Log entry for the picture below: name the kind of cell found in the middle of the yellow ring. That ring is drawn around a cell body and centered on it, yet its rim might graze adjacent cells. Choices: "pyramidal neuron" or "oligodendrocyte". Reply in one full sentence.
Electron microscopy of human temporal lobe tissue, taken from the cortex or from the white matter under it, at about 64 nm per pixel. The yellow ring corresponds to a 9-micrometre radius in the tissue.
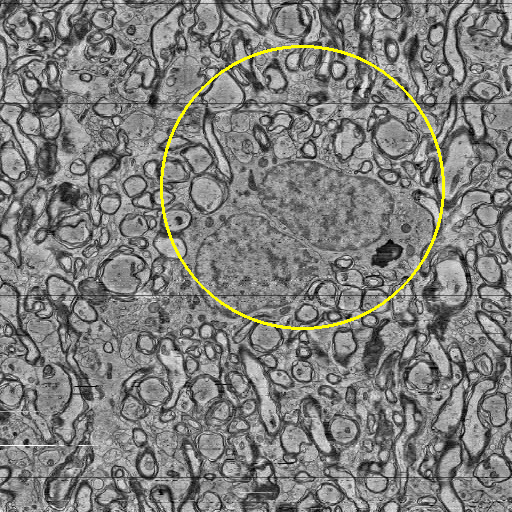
The cell in the middle of the yellow ring in this picture is an oligodendrocyte.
